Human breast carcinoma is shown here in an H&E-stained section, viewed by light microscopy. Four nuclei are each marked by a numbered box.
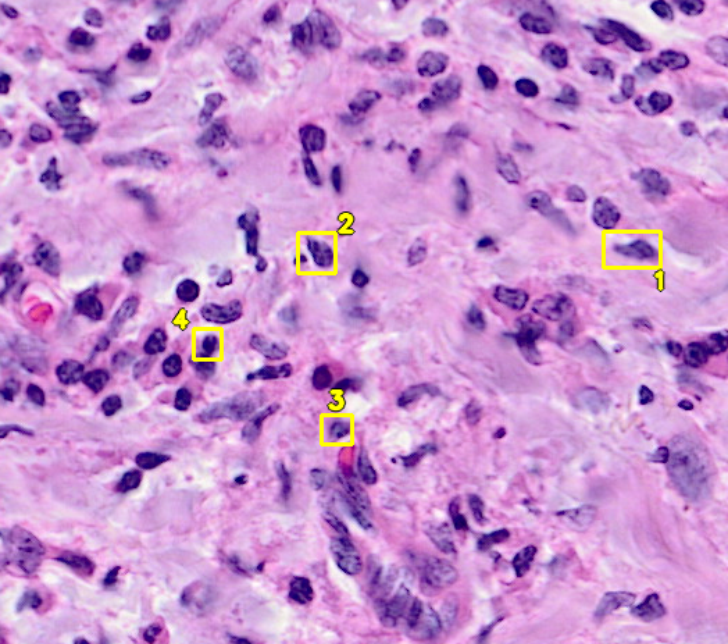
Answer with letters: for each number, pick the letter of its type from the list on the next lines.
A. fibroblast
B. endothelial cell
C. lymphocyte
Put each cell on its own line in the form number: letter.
1: C
2: C
3: B
4: C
